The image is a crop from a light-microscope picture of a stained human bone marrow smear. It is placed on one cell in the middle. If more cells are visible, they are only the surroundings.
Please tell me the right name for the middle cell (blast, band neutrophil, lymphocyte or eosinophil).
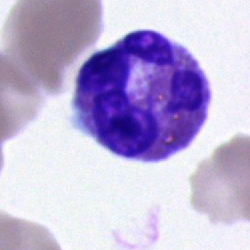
eosinophil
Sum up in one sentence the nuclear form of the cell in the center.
One defining trait here is a nucleus of two or more segments.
